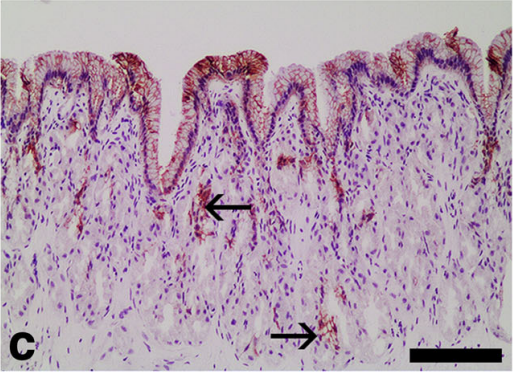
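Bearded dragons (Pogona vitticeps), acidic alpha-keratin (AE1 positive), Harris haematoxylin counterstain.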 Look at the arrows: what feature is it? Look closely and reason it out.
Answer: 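Gastric glands. The arrows point to brown-stained clusters deep in the mucosa below the surface folds. The surface is lined by tall columnar epithelium forming pits.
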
